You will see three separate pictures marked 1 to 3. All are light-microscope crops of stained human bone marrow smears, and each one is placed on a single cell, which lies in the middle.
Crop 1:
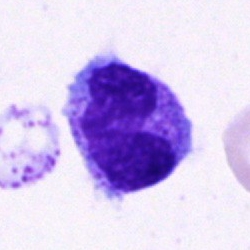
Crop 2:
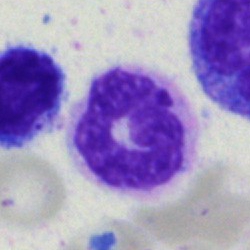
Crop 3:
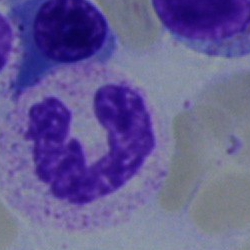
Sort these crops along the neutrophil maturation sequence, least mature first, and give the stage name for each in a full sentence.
Counting from the least mature up to the most mature, the order is crop 1 (a metamyelocyte), crop 3 (a band neutrophil) and crop 2 (a segmented neutrophil).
